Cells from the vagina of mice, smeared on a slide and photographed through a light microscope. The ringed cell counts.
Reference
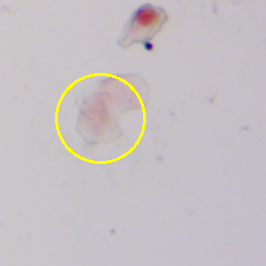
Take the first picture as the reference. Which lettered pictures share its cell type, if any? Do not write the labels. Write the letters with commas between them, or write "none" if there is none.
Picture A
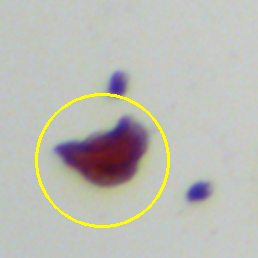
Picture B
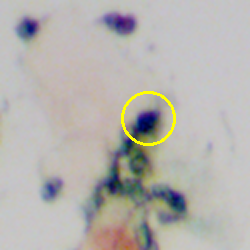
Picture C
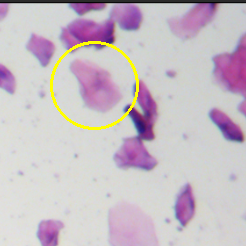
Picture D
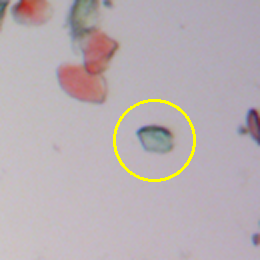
A, C, D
